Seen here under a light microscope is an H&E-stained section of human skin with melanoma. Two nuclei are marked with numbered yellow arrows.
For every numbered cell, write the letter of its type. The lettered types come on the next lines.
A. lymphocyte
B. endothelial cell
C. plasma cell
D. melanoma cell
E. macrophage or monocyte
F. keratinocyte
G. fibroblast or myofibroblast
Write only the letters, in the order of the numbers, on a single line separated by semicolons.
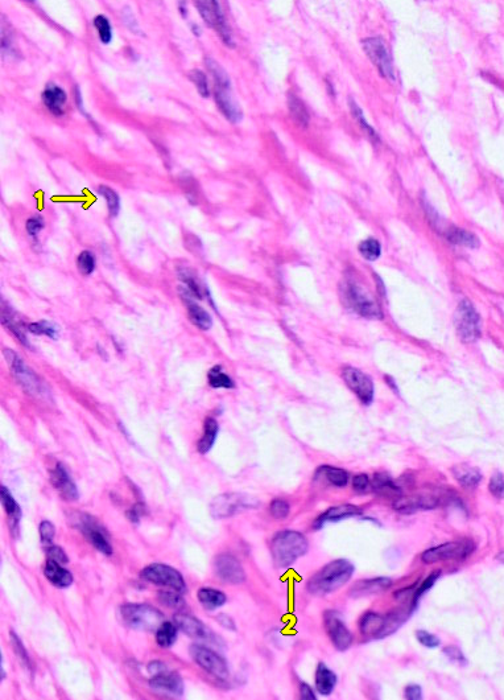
G; B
